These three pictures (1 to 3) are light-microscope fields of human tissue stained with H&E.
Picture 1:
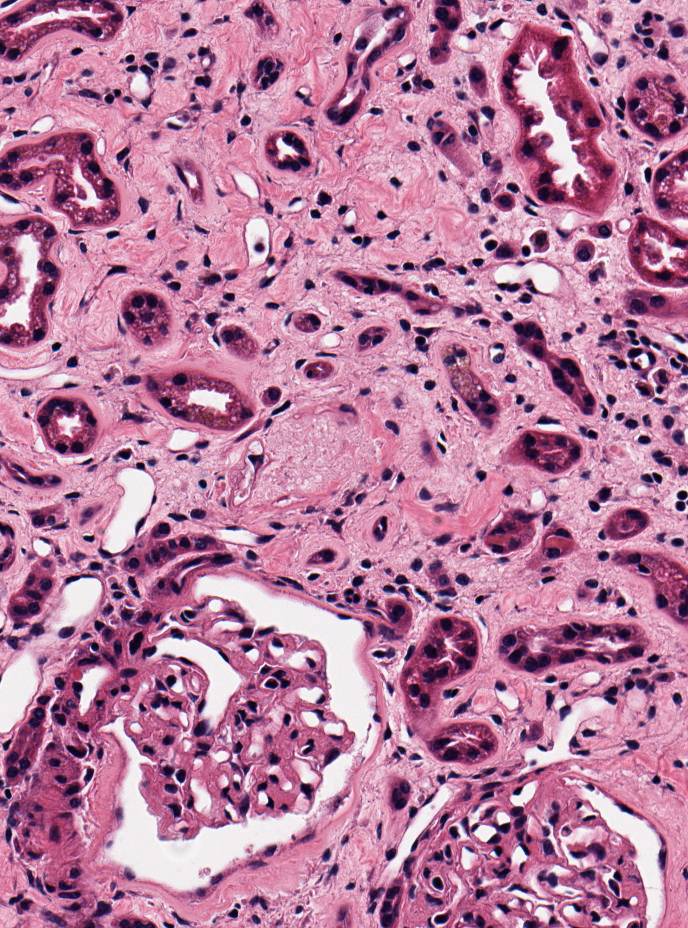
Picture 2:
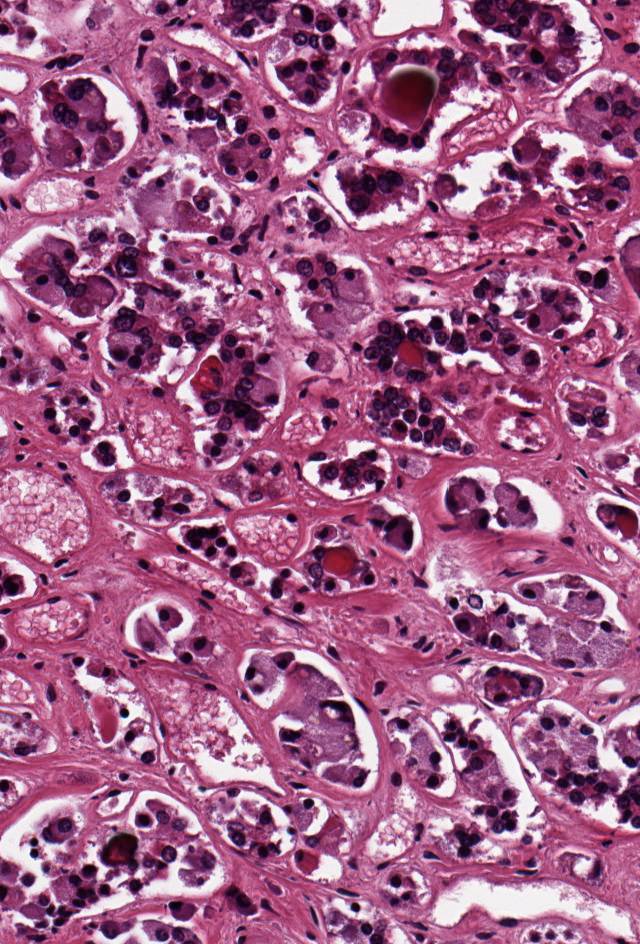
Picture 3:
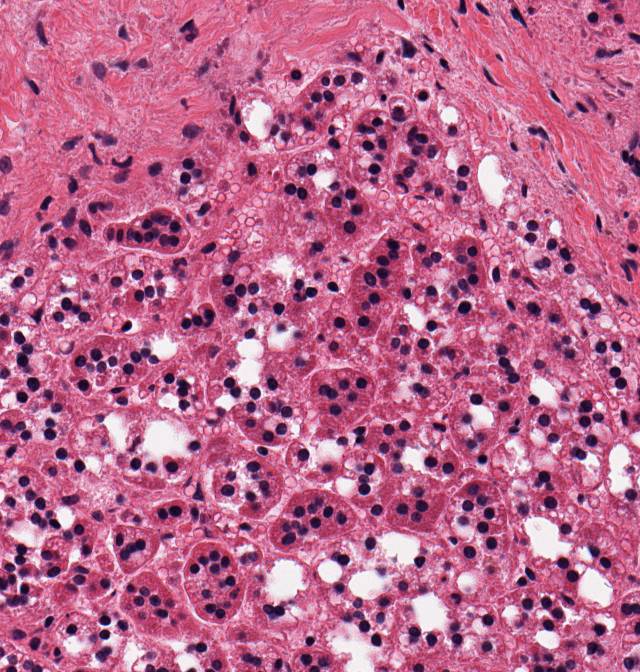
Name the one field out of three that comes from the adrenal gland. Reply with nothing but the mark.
3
